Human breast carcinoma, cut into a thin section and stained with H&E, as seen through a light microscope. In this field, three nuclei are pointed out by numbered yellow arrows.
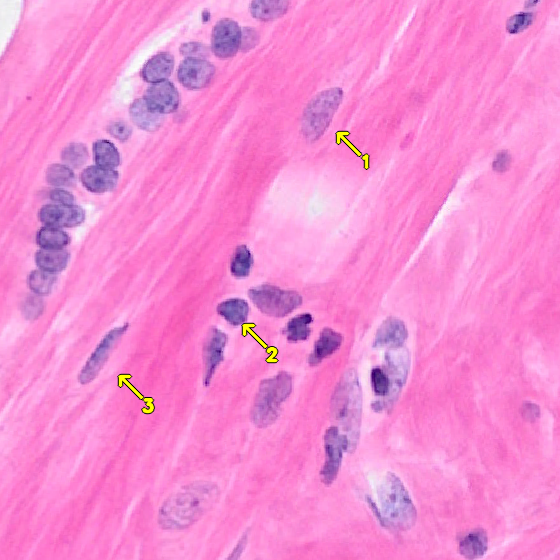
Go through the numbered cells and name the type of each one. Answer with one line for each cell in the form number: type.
1: fibroblast
2: lymphocyte
3: fibroblast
